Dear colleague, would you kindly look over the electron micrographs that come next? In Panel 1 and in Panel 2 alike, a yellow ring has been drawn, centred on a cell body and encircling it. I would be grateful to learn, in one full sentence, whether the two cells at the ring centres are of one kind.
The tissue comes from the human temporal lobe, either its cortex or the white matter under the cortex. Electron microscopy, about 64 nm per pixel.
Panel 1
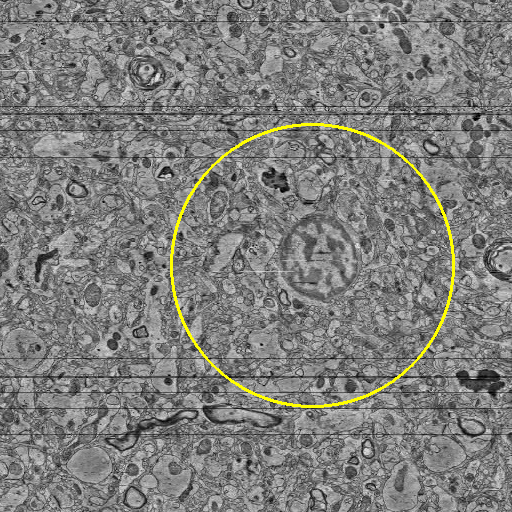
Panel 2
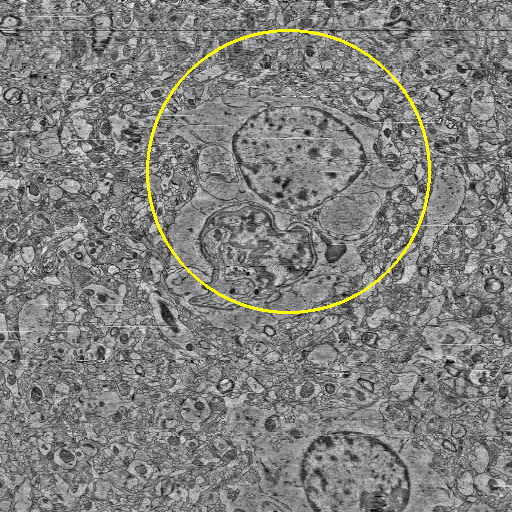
No, the cells in the middle of the rings in the two panels are of two kinds.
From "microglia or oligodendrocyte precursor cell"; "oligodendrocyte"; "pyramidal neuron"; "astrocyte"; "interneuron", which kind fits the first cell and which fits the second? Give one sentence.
The cell marked in the first picture is an oligodendrocyte, and the one marked in the second is an astrocyte.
